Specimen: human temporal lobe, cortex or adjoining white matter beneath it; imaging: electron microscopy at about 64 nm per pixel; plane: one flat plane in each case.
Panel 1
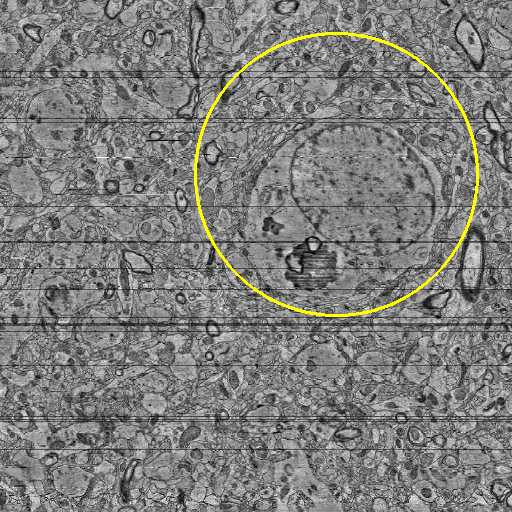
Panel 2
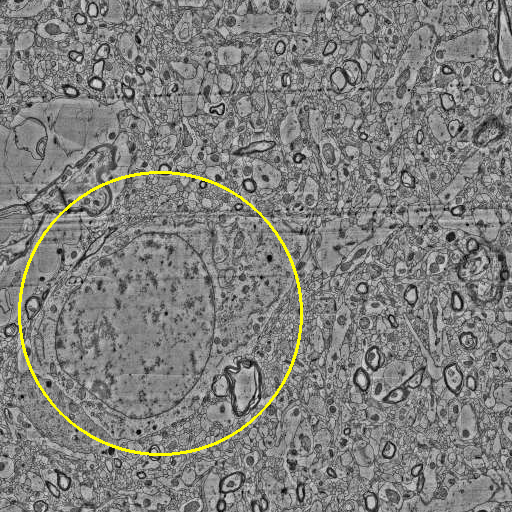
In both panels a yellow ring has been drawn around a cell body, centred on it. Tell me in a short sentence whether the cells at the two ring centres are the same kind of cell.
No, they are two kinds of cell.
